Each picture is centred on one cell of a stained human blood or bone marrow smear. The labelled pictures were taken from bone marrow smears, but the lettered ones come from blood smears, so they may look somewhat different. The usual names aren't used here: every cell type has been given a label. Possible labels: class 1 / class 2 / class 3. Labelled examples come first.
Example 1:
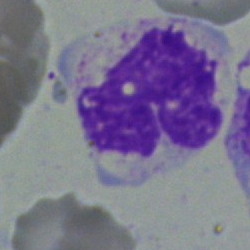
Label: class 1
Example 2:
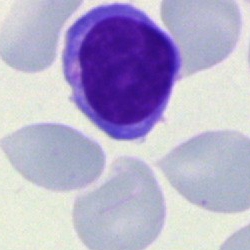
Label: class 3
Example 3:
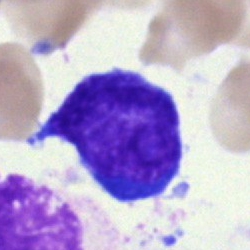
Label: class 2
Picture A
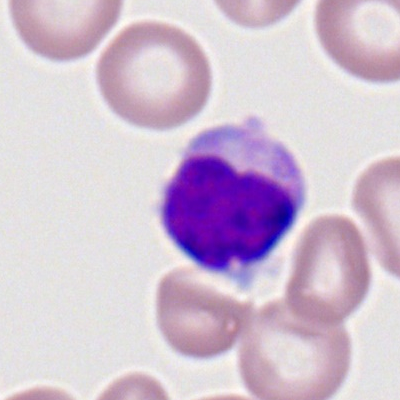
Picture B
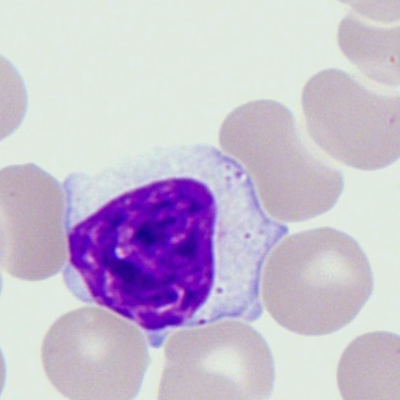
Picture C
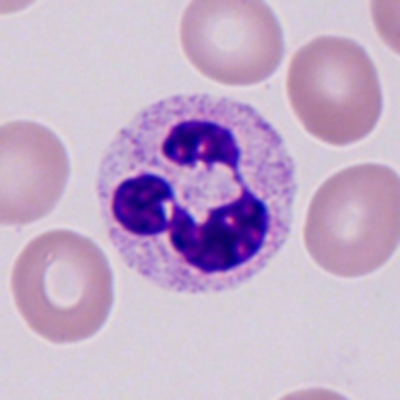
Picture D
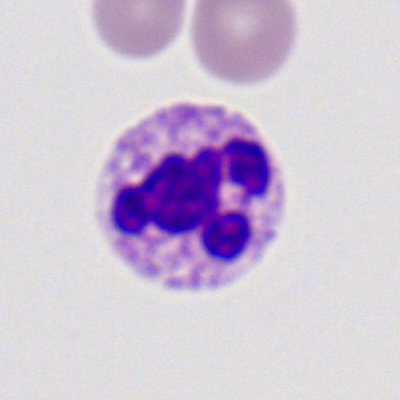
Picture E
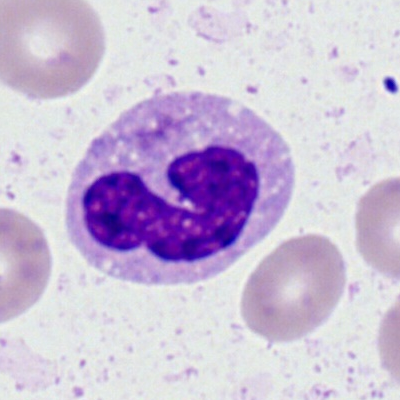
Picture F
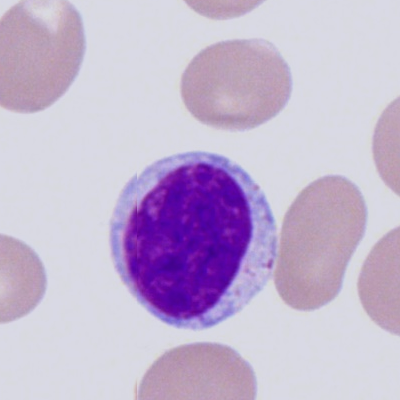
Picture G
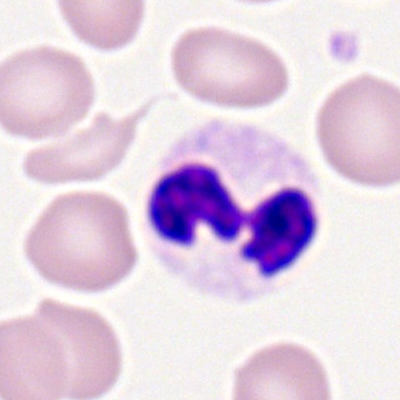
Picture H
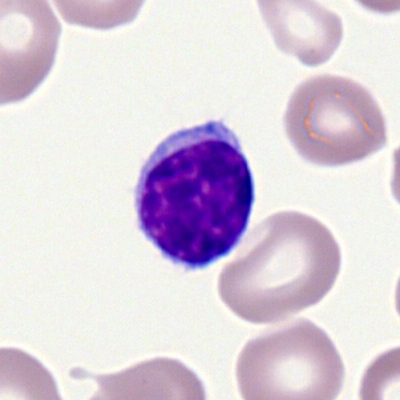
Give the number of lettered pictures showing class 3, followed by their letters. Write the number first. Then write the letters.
4: A, B, F, H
